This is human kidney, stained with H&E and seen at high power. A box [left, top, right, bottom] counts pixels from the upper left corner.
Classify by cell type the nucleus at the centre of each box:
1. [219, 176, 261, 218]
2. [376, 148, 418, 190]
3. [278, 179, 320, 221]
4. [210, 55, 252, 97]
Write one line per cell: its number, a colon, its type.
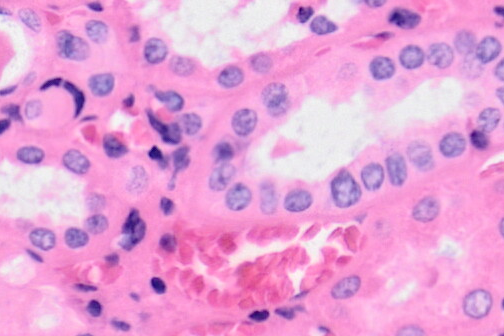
1: collecting duct cell
2: collecting duct cell
3: collecting duct cell
4: loop of Henle or distal tubule cell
